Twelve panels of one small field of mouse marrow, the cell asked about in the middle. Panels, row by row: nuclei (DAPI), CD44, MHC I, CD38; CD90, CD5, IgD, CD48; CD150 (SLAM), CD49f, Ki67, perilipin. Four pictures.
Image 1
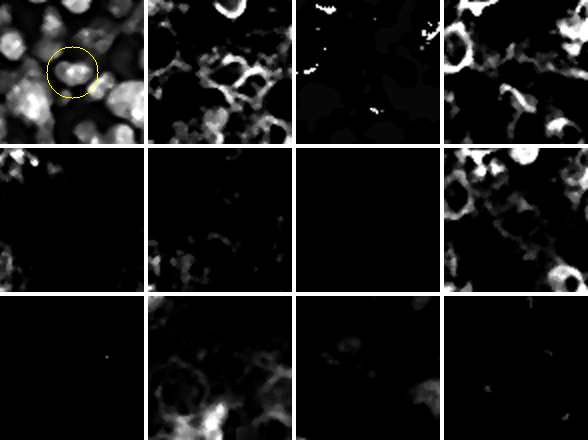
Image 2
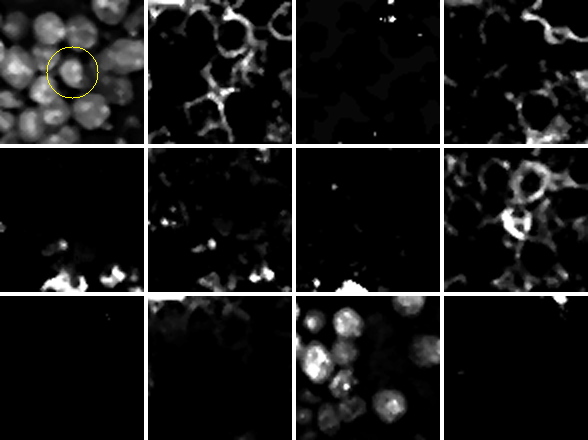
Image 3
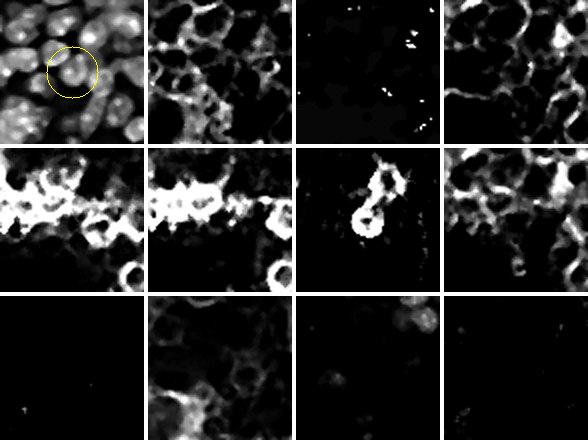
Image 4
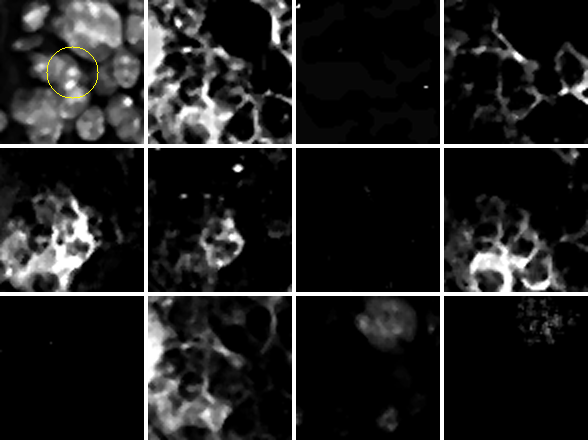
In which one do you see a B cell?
In picture 3.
